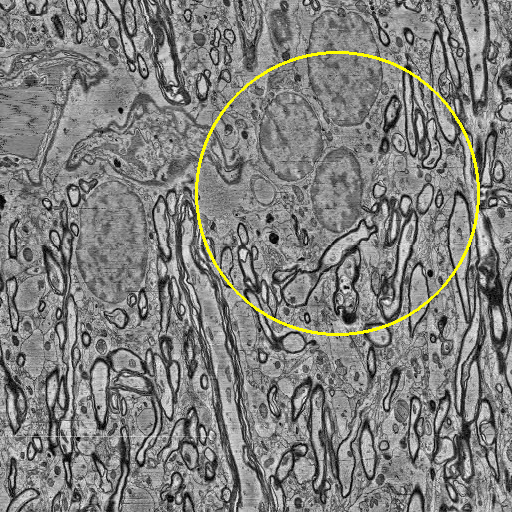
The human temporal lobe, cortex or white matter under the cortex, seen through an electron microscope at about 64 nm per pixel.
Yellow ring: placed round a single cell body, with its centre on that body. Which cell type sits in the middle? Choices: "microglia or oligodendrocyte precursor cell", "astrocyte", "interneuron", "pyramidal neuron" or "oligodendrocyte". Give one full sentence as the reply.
It is an oligodendrocyte whose cell body sits at the centre of the yellow ring.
